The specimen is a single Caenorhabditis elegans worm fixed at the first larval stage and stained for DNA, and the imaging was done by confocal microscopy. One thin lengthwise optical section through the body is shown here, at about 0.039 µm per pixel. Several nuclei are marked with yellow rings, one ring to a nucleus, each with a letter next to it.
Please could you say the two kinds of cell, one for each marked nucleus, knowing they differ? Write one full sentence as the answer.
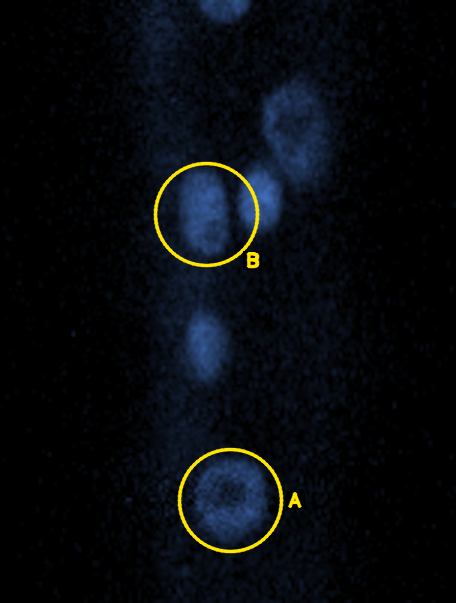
A is in a seam cell and B is in a P cell (ventral epidermal blast cell).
